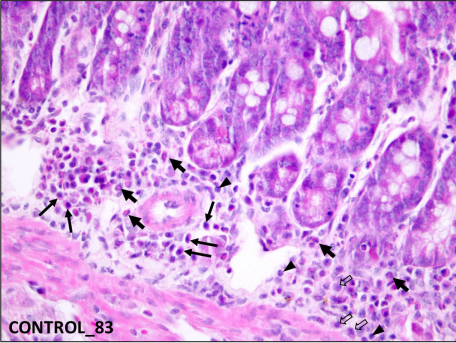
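Tall glands lined by columnar epithelium with pale, rounded goblet cells run down toward a band of pink muscle at the lower left. Between and beneath the glands lies the lamina propria, crowded with many small cells with purple nuclei. Some of these have round nuclei set to one side of a purplish cytoplasm, fitting plasma cells, while others are small with dense round nuclei and scant cytoplasm, fitting lymphocytes. Cells with dark, irregular nuclei are scattered among them as neutrophils, and a few larger paler cells are macrophages. The picture is one of a mixed inflammatory cell infiltration in the lamina propria of the mucosa.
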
